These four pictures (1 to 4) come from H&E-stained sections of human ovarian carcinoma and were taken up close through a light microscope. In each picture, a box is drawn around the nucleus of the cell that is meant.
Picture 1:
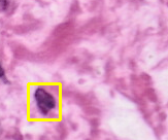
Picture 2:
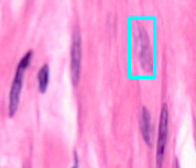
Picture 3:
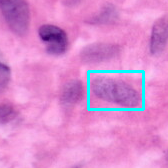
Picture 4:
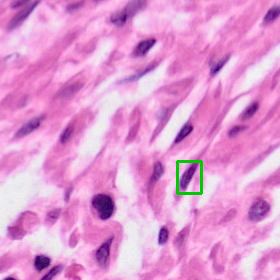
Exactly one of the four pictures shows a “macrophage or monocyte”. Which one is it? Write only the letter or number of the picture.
1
